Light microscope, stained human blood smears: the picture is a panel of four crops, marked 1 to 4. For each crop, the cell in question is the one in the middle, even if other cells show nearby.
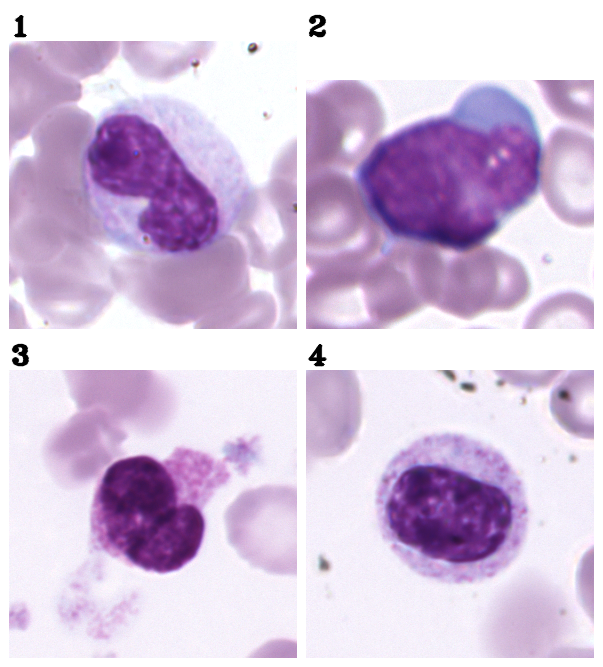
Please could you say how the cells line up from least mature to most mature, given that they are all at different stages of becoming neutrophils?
2, 4, 1, 3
